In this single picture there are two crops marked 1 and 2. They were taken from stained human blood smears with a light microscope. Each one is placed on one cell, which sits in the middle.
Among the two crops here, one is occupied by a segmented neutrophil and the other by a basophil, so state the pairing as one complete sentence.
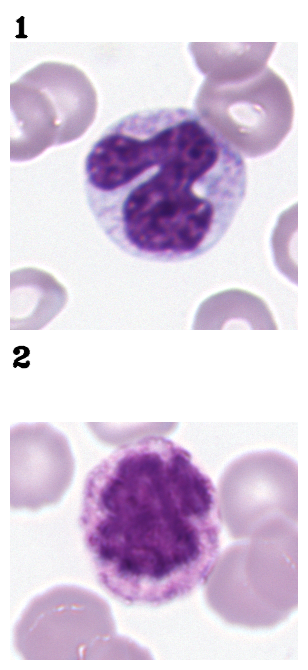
Crop 1 represents a segmented neutrophil, while crop 2 represents a basophil.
